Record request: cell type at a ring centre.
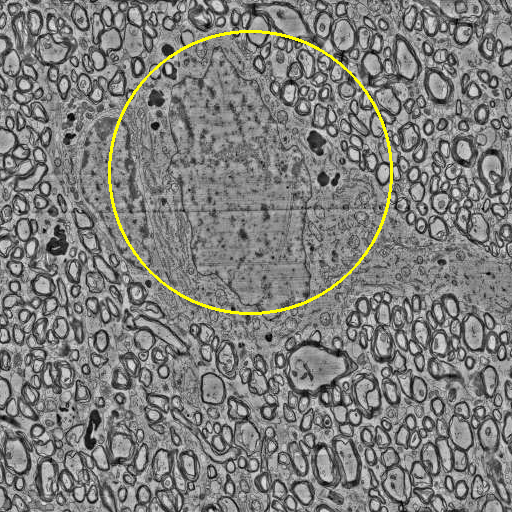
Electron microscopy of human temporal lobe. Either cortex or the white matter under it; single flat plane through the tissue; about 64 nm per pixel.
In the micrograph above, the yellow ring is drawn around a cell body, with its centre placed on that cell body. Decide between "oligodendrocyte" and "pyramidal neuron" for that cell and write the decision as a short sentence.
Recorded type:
The cell centred in the yellow ring is a pyramidal neuron.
